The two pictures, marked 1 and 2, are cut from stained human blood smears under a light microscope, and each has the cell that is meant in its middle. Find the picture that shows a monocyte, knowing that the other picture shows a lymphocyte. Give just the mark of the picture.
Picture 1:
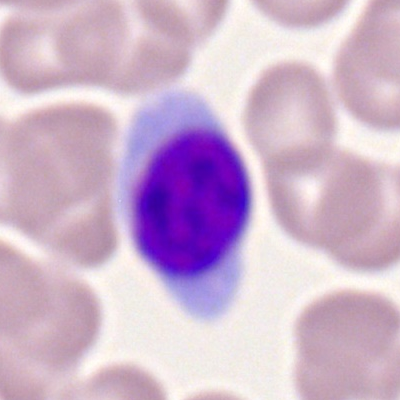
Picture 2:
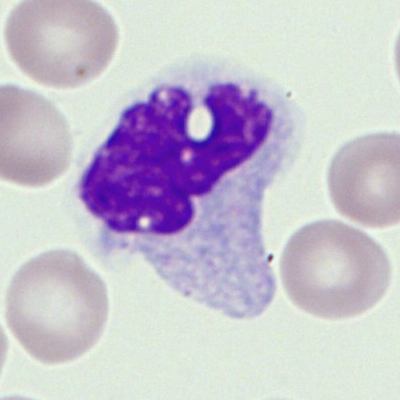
2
